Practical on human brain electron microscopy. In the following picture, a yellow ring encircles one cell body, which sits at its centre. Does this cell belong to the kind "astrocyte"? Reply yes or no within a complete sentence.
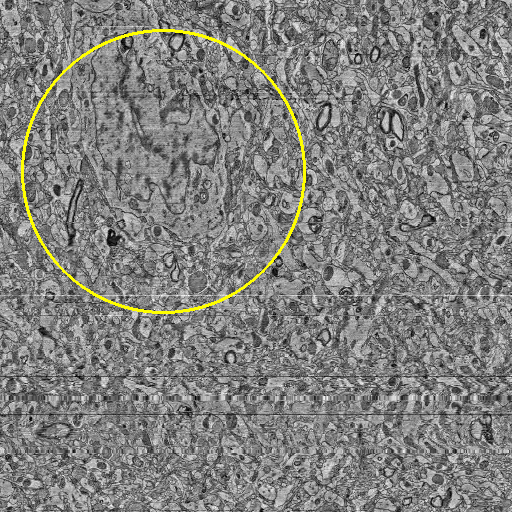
No, the cell lying within the ring at its centre is another kind.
